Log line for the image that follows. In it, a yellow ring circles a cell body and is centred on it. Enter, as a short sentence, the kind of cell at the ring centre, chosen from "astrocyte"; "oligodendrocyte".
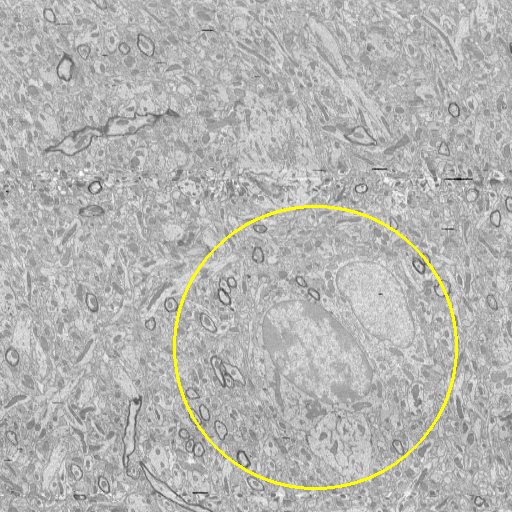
The ring centre is occupied by an oligodendrocyte.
